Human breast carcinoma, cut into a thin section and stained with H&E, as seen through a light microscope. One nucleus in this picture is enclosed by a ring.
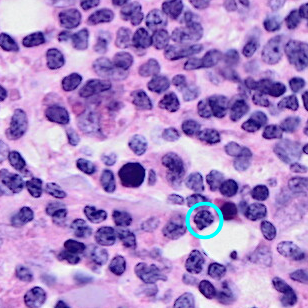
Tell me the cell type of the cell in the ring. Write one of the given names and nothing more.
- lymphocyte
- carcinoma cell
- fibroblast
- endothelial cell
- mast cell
lymphocyte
